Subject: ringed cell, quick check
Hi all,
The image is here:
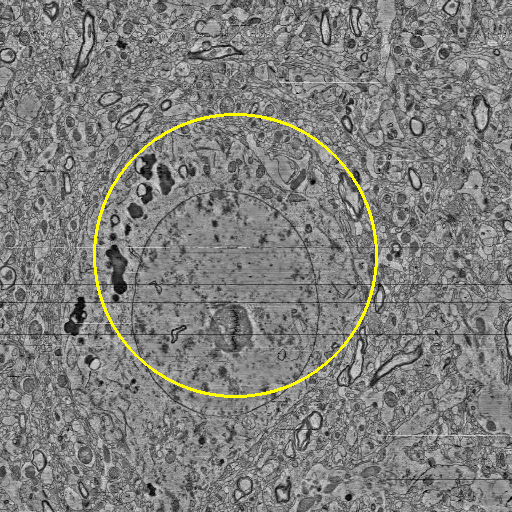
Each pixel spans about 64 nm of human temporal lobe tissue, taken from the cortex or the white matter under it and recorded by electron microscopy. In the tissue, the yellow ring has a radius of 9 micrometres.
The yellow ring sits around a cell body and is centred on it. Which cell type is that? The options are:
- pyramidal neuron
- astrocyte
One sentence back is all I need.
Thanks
That ringed cell is a pyramidal neuron.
